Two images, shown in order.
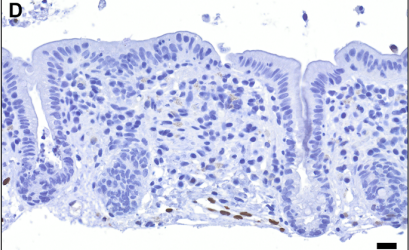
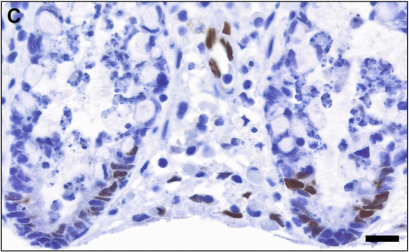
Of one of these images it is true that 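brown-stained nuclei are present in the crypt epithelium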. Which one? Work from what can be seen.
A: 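First image: the epithelium has only blue nuclei; the few brown nuclei lie in the deep stroma. Second image: several brown nuclei lie in the epithelial lining at the bases of the crypts. On this evidence: the second image.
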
